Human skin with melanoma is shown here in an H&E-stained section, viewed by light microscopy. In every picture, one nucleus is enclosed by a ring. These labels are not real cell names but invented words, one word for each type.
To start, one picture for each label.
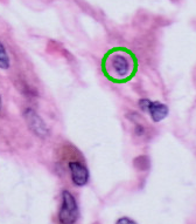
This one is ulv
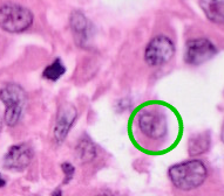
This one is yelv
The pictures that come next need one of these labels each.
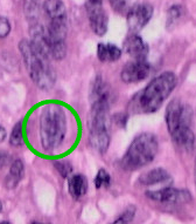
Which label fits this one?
yelv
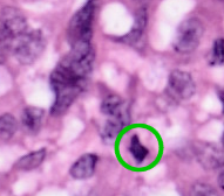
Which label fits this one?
ulv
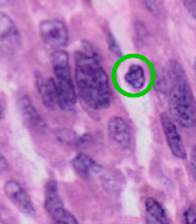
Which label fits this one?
ulv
